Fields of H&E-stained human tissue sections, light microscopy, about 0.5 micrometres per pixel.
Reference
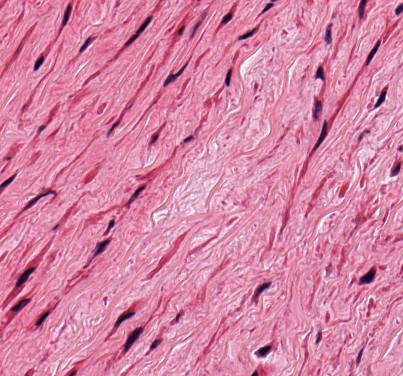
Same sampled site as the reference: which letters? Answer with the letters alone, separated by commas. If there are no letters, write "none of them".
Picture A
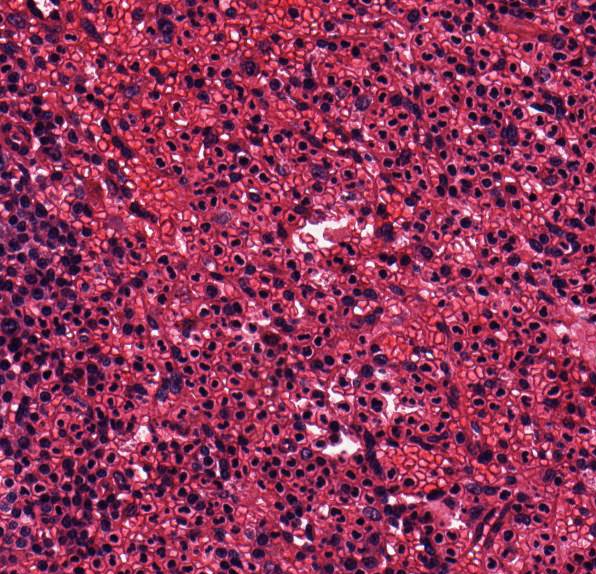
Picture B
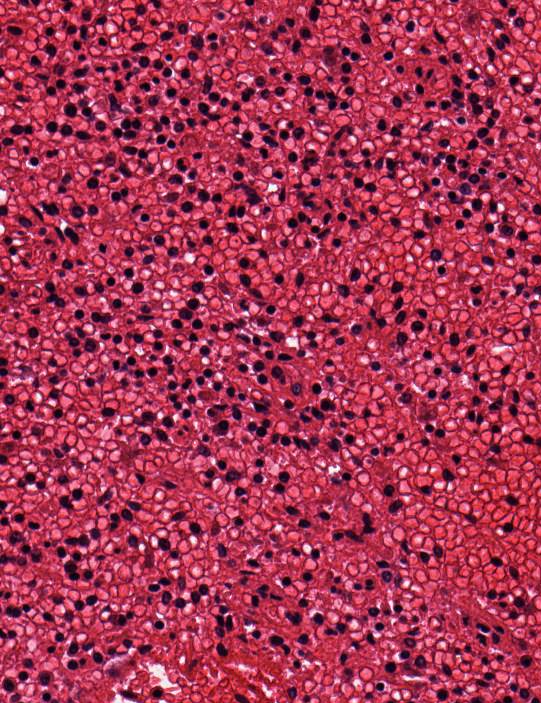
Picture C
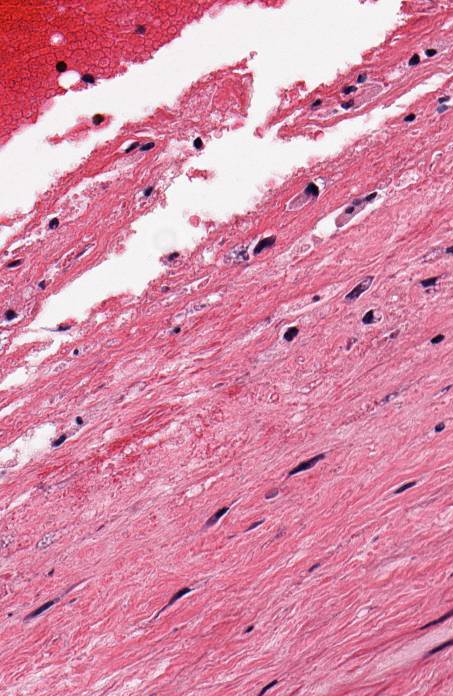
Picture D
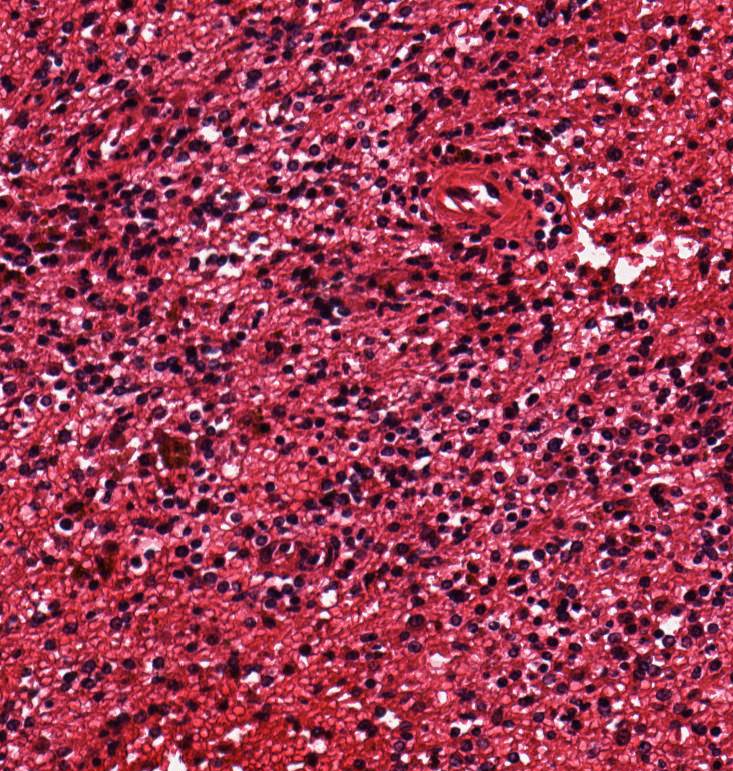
C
